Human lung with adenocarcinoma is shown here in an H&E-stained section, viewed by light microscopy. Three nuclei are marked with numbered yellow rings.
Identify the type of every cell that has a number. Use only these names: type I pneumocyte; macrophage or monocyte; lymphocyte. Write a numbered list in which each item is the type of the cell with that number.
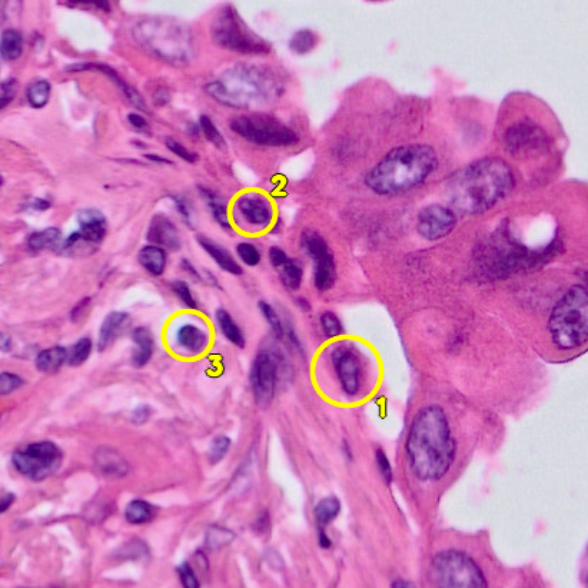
1. macrophage or monocyte
2. lymphocyte
3. lymphocyte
